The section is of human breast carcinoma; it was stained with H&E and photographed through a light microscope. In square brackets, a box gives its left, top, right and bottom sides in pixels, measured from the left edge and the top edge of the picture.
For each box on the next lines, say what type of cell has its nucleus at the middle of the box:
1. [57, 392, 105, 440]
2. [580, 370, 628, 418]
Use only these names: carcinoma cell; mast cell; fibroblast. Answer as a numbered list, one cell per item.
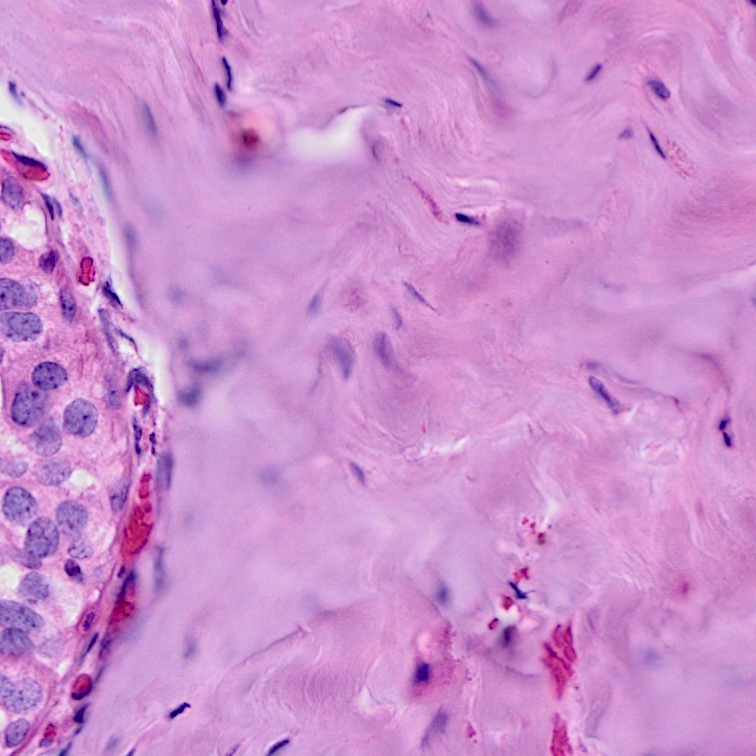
1. carcinoma cell
2. fibroblast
